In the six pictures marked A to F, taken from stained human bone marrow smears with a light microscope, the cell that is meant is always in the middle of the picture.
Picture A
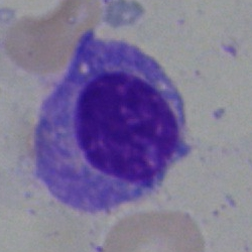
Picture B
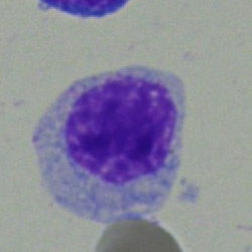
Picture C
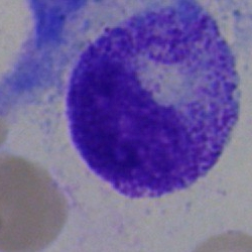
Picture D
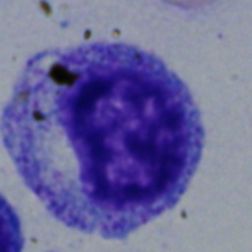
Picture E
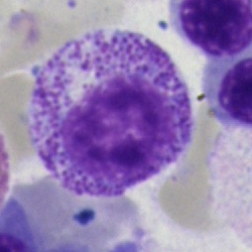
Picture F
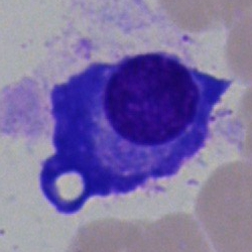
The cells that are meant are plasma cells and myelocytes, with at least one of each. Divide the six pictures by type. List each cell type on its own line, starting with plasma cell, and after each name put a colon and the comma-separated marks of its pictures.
plasma cell: A, F
myelocyte: B, C, D, E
